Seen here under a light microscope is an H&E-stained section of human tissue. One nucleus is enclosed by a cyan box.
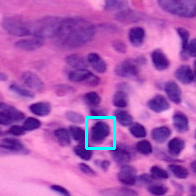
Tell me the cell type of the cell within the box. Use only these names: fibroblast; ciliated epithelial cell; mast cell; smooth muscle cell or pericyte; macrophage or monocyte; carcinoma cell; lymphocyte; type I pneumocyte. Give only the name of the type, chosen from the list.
lymphocyte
